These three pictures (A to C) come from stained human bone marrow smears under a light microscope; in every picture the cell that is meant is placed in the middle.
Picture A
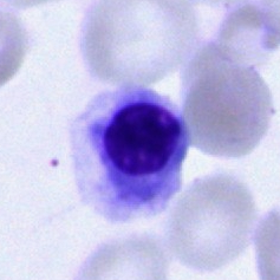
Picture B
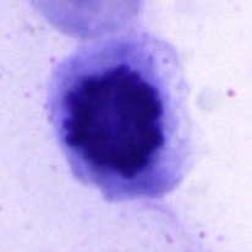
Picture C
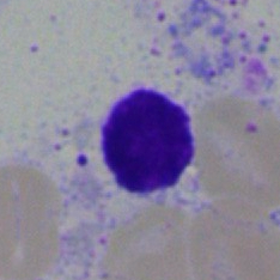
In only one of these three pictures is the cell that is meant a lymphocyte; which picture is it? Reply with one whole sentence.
Picture C is the one that shows the lymphocyte.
